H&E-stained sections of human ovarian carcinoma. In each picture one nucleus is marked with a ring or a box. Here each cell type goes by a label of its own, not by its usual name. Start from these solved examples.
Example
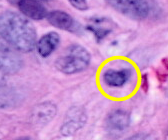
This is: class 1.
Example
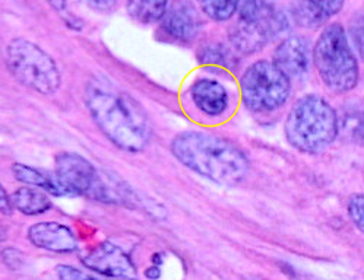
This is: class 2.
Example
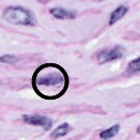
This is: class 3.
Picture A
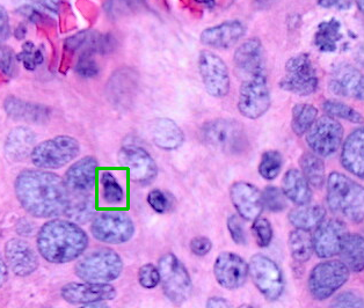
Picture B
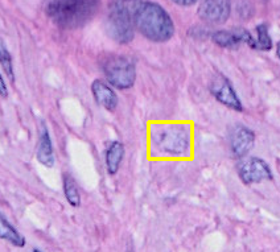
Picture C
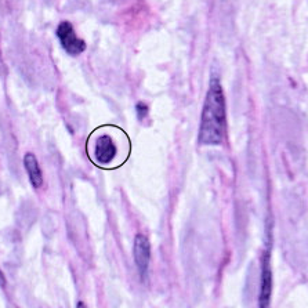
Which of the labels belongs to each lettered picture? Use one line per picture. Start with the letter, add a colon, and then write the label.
A: class 1.
B: class 3.
C: class 1.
